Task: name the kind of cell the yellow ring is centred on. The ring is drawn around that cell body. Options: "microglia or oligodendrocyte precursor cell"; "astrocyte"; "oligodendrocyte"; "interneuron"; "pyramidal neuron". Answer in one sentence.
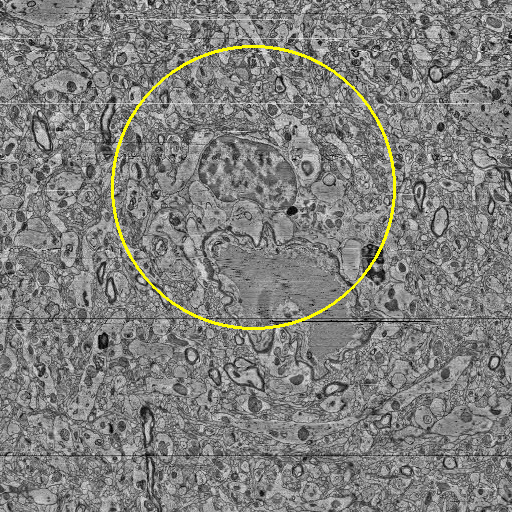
This cell body belongs to a microglial cell or oligodendrocyte precursor cell.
